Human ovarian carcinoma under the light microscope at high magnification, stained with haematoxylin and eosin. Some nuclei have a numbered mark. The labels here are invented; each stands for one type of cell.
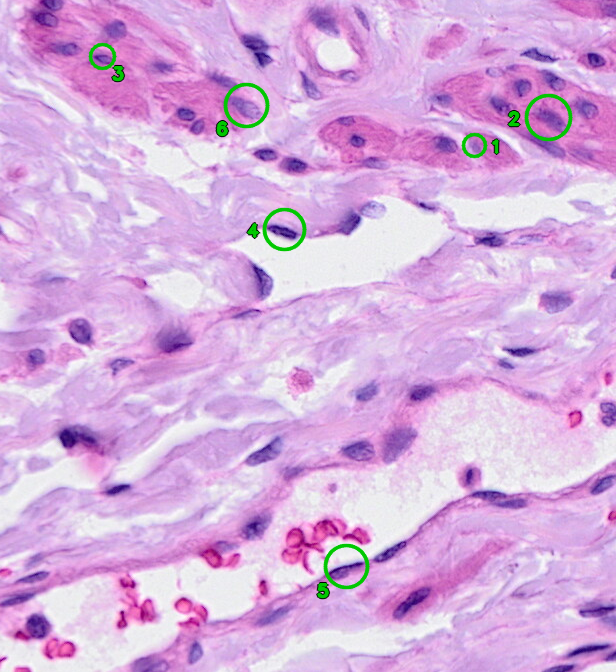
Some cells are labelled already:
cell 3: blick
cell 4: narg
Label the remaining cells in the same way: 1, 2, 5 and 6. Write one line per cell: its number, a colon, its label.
1: blick
2: blick
5: narg
6: blick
